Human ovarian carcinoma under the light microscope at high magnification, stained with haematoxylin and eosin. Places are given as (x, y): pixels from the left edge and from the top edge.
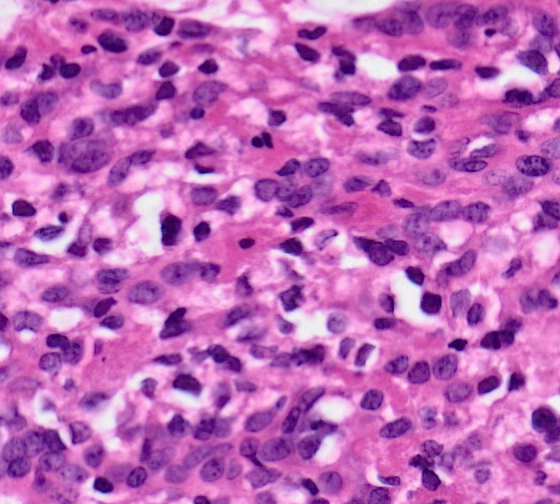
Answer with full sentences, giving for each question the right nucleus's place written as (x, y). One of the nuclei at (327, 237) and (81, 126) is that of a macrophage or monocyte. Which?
Which one belongs to a macrophage or monocyte? The nucleus at (327, 237) does.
